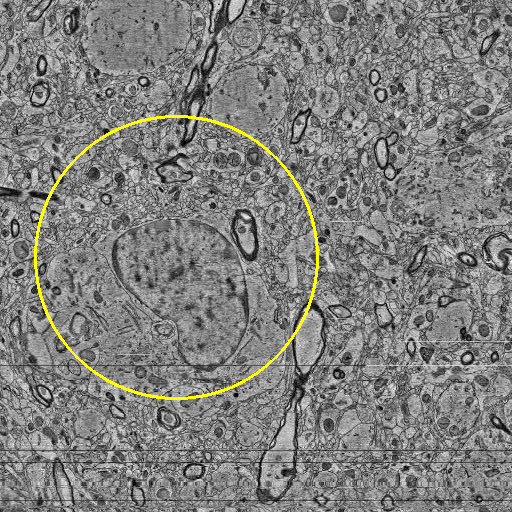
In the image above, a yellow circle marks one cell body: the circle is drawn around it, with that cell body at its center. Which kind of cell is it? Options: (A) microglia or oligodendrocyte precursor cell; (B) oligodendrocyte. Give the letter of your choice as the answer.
A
